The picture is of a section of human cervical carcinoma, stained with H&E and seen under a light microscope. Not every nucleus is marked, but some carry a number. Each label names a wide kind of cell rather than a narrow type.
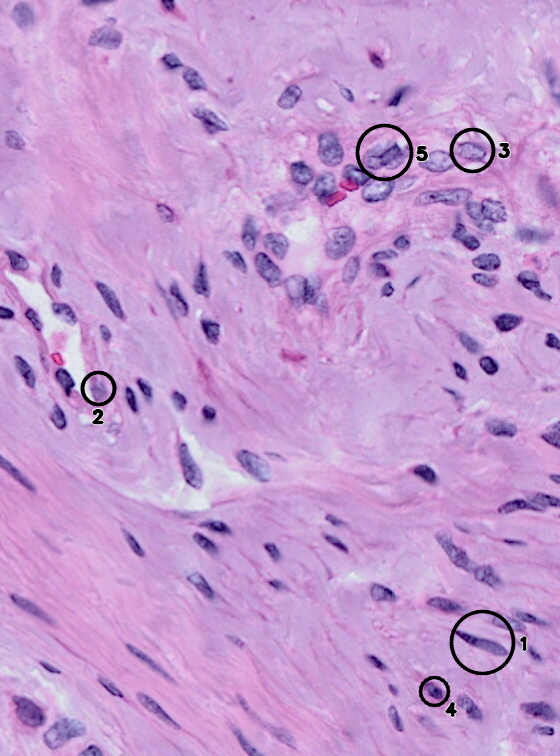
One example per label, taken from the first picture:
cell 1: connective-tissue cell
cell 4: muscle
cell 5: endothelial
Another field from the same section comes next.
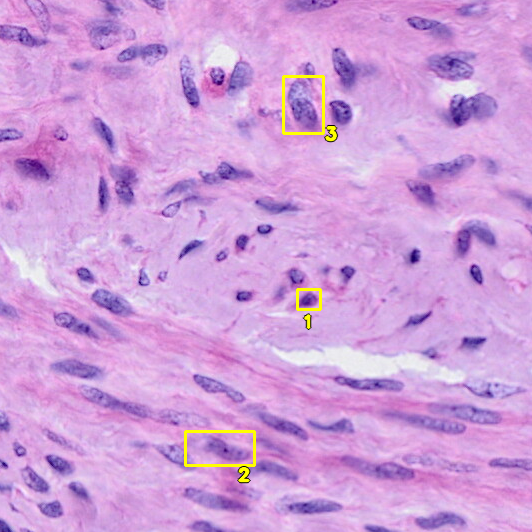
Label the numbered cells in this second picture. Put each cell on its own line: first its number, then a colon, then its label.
1: muscle
2: muscle
3: endothelial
